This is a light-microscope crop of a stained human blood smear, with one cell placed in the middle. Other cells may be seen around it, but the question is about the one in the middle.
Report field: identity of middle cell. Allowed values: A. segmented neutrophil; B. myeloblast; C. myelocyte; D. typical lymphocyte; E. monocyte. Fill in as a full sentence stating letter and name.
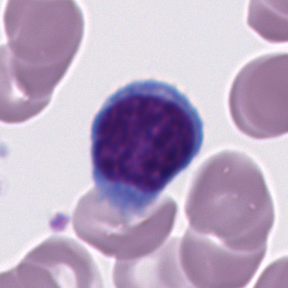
According to option D, which is correct, the cell in the middle is a typical lymphocyte.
